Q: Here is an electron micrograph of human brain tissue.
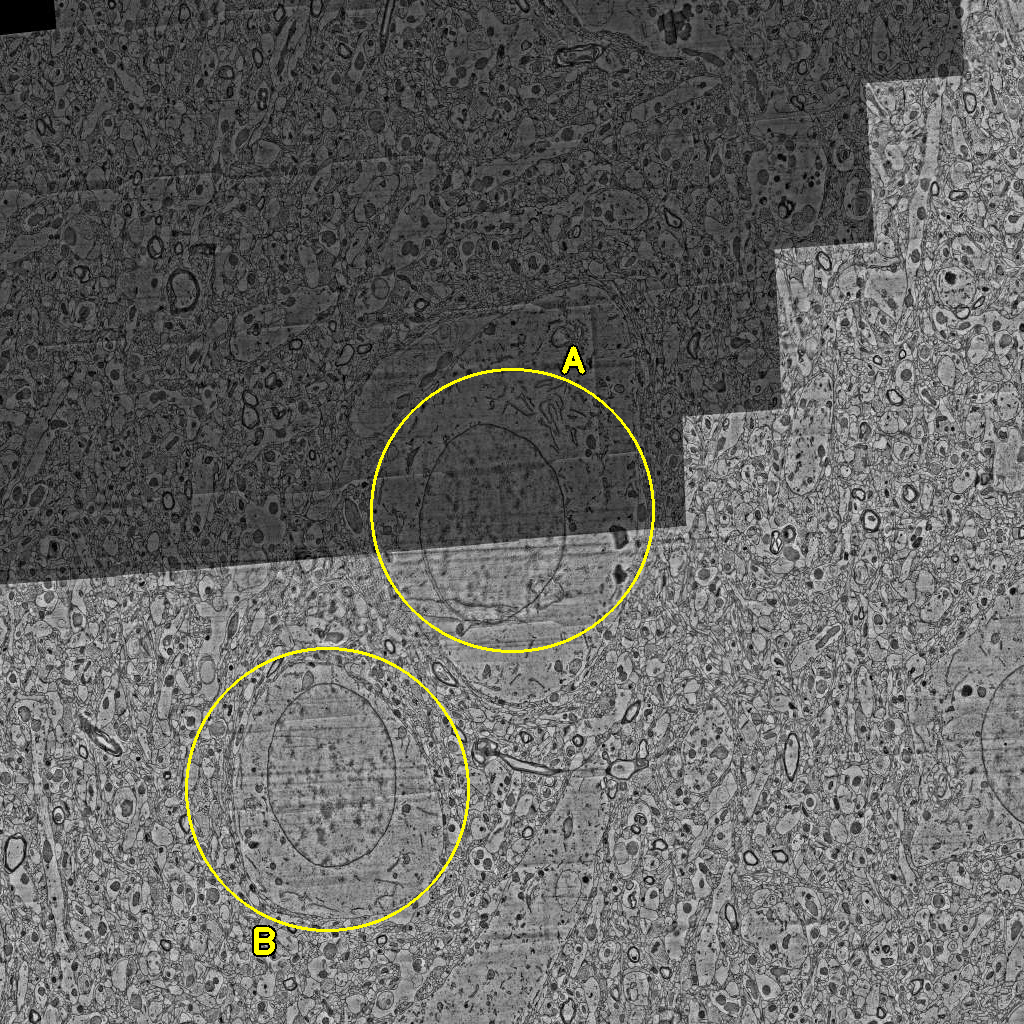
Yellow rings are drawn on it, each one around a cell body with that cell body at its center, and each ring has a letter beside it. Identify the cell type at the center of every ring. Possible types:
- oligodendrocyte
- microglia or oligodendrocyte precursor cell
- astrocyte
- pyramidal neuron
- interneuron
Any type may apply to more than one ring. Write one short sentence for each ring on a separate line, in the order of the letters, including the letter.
Centered in ring A is a pyramidal neuron.
Centered in ring B is a pyramidal neuron.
